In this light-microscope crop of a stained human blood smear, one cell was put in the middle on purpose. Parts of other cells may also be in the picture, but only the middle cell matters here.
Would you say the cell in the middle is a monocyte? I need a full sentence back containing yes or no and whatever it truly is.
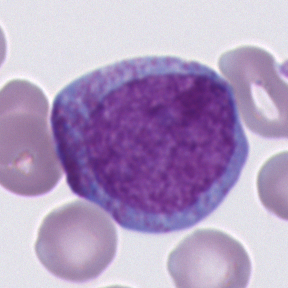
No, the central cell should be identified as a promyelocyte, not as a monocyte.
